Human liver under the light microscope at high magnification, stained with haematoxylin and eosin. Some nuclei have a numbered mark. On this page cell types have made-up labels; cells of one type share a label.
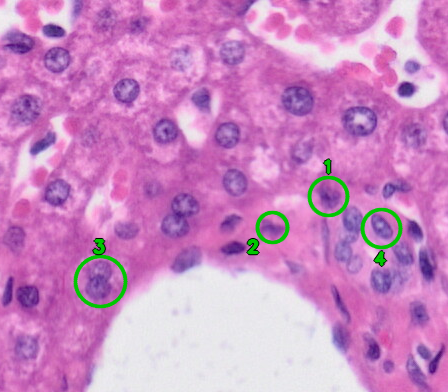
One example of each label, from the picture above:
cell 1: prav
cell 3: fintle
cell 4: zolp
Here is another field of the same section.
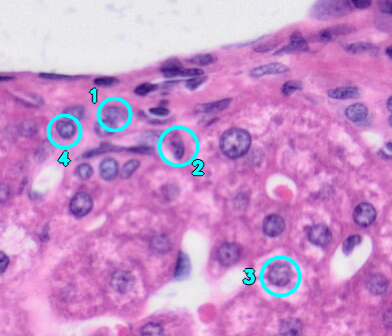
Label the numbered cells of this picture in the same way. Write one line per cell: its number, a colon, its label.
1: zolp
2: prav
3: fintle
4: zolp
